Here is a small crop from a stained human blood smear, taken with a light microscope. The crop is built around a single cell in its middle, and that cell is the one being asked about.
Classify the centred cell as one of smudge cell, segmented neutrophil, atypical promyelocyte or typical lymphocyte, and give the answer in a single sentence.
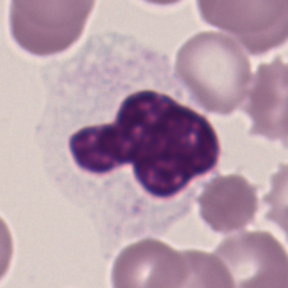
The center cell of this crop is a segmented neutrophil.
